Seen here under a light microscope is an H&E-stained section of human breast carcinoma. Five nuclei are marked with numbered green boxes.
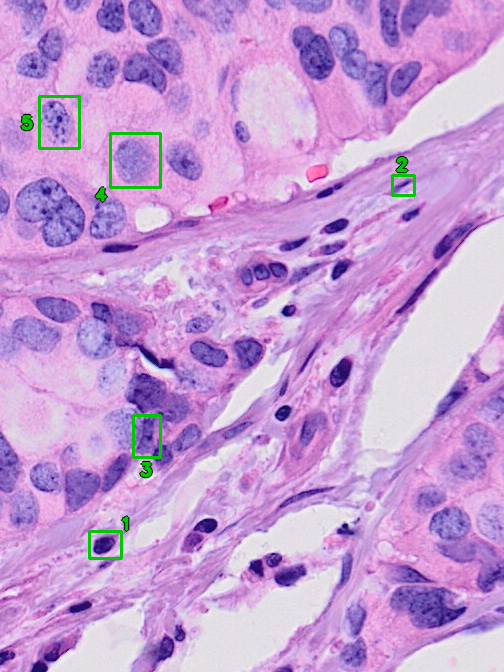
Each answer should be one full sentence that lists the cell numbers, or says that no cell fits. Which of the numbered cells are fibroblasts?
Among the numbered nuclei, only the one labelled 2 belongs to a fibroblast.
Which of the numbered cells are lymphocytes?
Only at number 1 is there a lymphocyte among the marked cells.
